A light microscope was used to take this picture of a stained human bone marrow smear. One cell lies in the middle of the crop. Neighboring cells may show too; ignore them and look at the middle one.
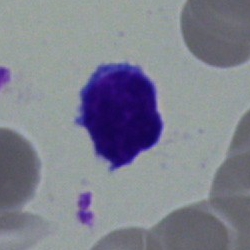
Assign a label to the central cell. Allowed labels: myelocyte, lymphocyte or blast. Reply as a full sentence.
The crop centres on a single cell, and that cell is a lymphocyte.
